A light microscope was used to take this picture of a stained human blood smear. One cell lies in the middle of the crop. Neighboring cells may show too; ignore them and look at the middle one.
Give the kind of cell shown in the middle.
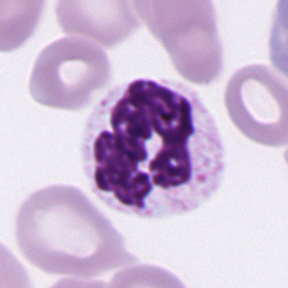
neutrophil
